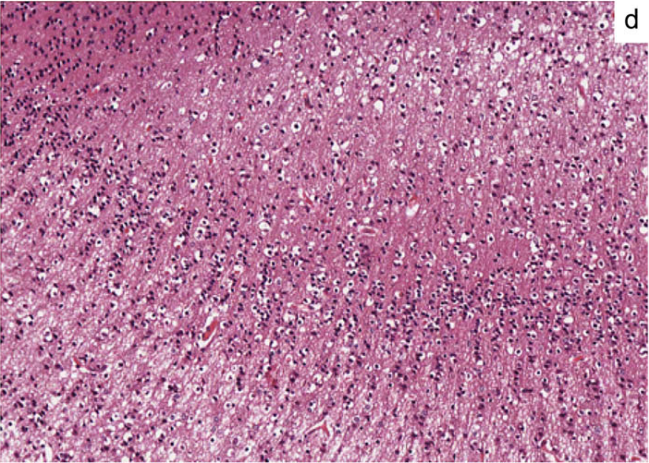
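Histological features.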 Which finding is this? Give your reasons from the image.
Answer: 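Pale pink, fibrillary brain tissue is scattered with many dark nuclei. Nuclei are more crowded toward the upper left of the field. So: cortex infiltration by tumoral cells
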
